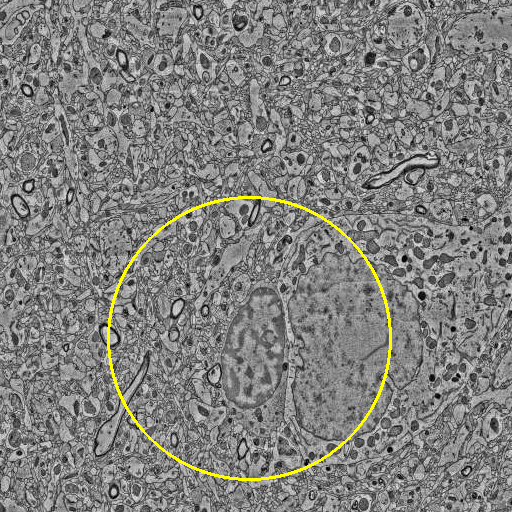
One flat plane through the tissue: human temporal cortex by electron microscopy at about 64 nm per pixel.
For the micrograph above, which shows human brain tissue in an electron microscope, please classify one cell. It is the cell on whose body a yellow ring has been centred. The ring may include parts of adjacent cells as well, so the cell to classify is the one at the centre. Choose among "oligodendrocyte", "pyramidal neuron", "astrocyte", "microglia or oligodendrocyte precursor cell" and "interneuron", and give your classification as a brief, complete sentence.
I classify this cell as an oligodendrocyte.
